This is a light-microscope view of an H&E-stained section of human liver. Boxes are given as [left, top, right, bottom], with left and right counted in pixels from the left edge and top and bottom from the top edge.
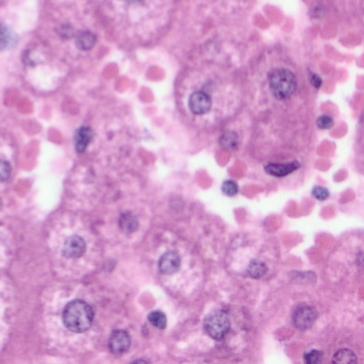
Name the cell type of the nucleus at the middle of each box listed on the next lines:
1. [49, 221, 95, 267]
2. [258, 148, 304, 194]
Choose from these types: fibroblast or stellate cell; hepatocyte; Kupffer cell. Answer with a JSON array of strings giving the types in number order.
["hepatocyte", "fibroblast or stellate cell"]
